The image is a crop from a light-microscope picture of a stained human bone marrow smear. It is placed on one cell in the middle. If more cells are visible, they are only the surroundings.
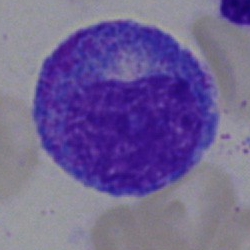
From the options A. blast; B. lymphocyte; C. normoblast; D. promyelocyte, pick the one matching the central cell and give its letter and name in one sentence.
The one cell at the centre is a promyelocyte, as correctly stated in option D.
